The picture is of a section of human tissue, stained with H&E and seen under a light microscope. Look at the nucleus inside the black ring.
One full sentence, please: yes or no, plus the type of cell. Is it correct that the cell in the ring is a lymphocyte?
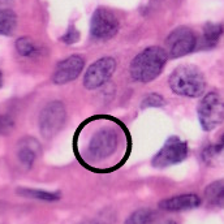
No, the cell in the ring is to be classified as a carcinoma cell rather than a lymphocyte.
